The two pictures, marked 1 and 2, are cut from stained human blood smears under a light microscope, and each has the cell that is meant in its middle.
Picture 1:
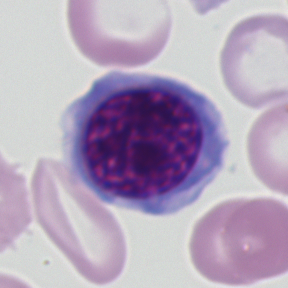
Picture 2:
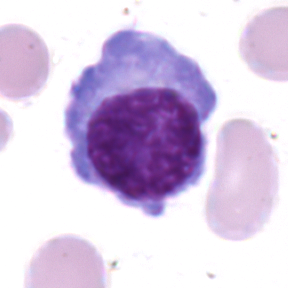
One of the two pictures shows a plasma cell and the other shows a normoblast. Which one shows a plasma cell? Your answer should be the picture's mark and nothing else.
2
